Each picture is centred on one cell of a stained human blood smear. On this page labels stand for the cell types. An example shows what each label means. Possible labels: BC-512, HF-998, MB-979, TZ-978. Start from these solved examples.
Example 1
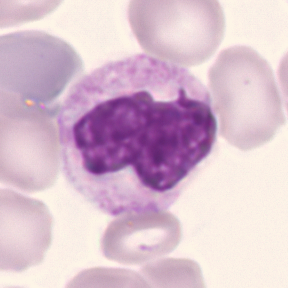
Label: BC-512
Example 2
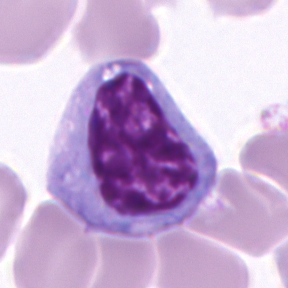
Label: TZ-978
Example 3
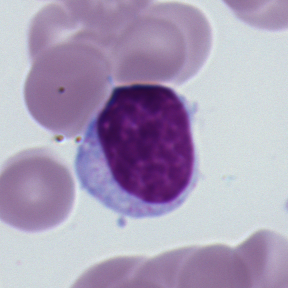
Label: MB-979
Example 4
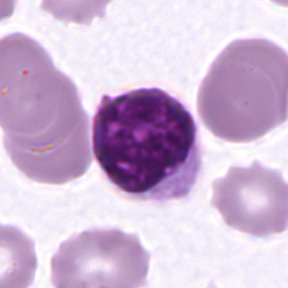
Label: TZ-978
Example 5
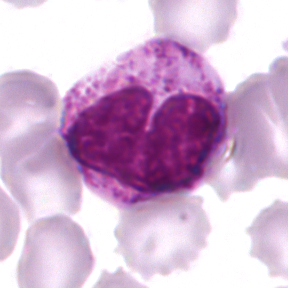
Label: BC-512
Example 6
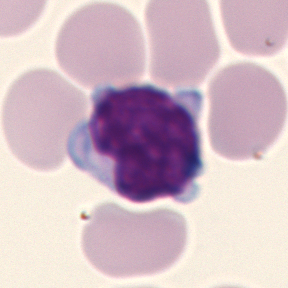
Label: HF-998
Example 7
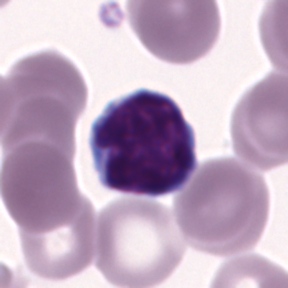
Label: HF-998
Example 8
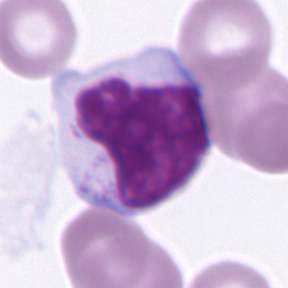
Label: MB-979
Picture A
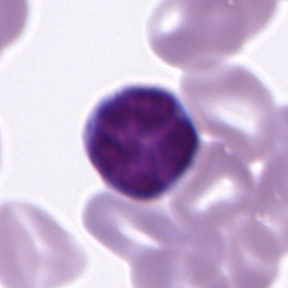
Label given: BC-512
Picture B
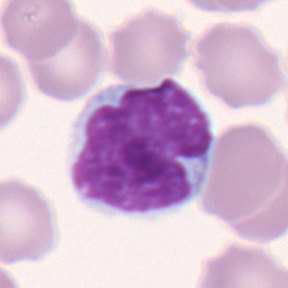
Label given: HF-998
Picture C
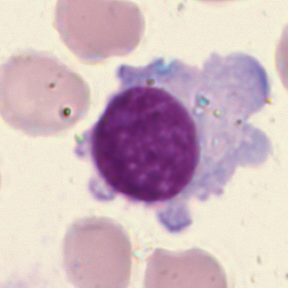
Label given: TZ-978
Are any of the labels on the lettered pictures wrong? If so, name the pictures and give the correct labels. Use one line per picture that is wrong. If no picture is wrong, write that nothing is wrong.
A: not BC-512 but HF-998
